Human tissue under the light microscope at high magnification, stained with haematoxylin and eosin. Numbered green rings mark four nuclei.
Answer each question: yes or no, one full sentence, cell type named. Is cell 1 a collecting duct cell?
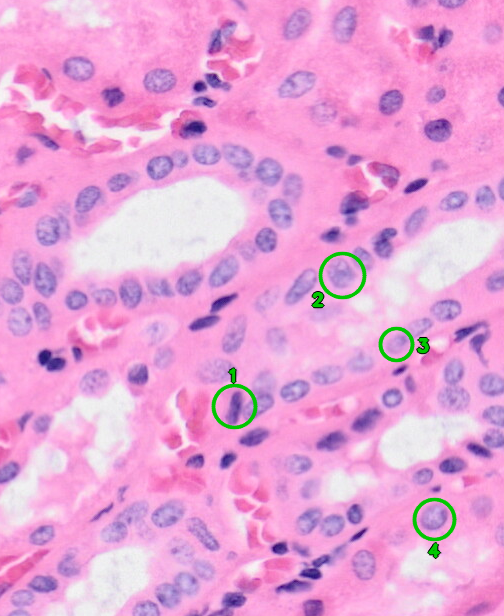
Yes, the one numbered 1 is a collecting duct cell.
